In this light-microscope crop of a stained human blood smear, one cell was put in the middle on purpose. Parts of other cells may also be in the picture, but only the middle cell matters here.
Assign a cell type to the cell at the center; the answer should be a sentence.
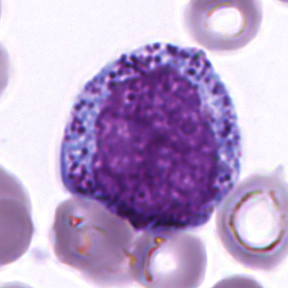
Among the cells in view, the one in the middle is a promyelocyte.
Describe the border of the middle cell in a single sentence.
Smooth all around, the outline has no projections to report.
